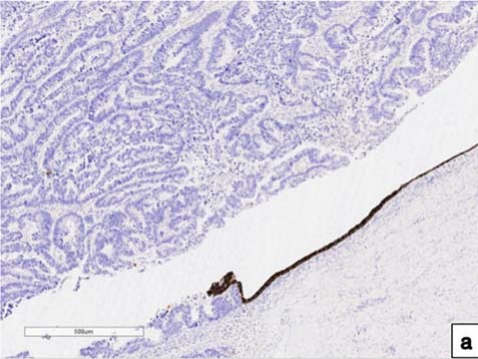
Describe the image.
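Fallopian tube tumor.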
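The upper left is packed with back-to-back, branching glands of crowded epithelial cells with blue nuclei and no brown color. Below, separated by an empty space, loose pale stroma is covered by a single thin lining layer that is stained dark brown.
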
